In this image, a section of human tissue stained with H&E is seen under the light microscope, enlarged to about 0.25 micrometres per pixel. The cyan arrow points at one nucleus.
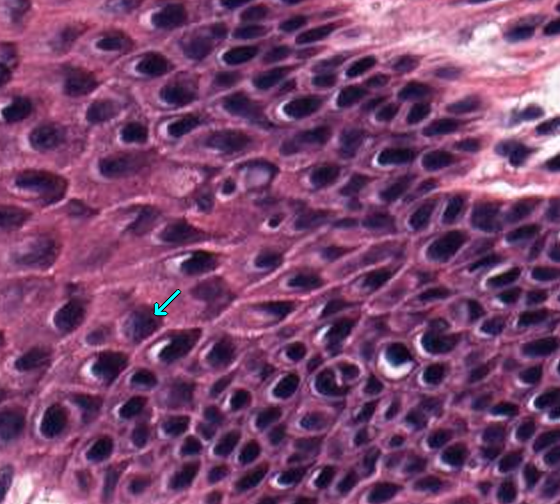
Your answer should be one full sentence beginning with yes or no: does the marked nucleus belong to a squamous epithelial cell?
Yes, the owner of the marked nucleus is a squamous epithelial cell.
